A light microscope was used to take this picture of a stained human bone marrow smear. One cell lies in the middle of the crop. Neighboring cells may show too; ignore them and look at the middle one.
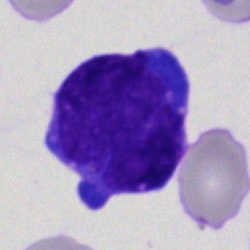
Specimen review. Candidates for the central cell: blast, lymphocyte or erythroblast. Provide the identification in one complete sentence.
Standing at the centre of this crop is a blast.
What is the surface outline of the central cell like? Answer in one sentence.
An irregular outline, ragged or marked by projections, surrounds this cell.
